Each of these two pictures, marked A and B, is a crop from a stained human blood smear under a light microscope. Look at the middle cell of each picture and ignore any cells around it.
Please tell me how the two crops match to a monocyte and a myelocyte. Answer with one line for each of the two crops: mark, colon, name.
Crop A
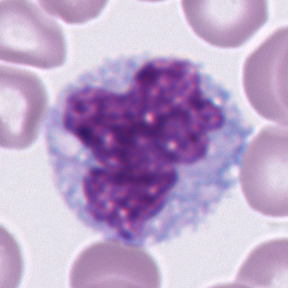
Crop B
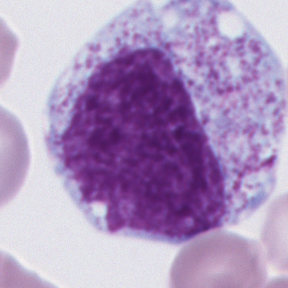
A: monocyte
B: myelocyte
